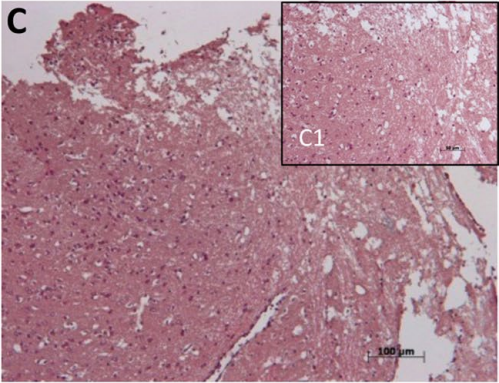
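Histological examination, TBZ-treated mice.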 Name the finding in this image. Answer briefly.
Brain tissue injury.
